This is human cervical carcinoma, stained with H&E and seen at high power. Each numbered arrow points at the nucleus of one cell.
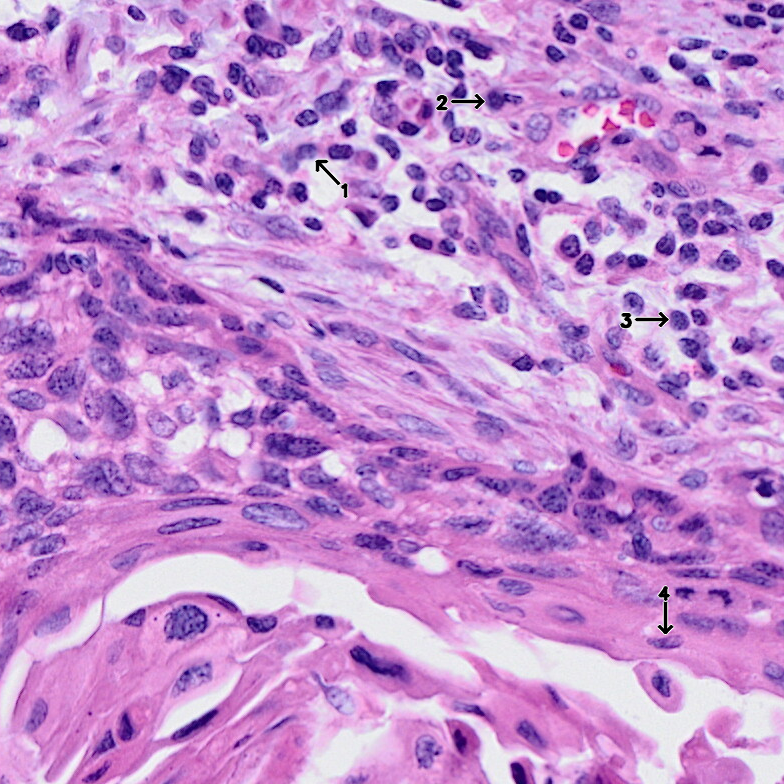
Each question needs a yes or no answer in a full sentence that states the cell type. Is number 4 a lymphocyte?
No, with respect, cell 4 is a squamous carcinoma cell rather than a lymphocyte.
